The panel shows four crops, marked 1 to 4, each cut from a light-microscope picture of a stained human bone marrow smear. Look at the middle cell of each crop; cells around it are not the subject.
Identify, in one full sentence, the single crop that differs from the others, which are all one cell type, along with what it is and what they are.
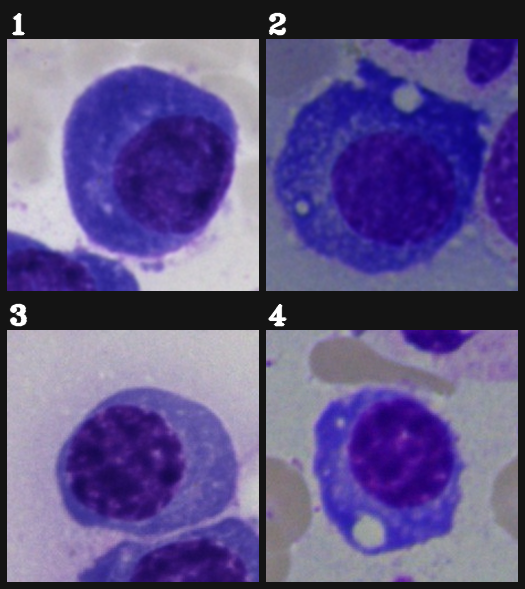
Of all the crops, only crop 3 shows an erythroblast; the others show plasma cells.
